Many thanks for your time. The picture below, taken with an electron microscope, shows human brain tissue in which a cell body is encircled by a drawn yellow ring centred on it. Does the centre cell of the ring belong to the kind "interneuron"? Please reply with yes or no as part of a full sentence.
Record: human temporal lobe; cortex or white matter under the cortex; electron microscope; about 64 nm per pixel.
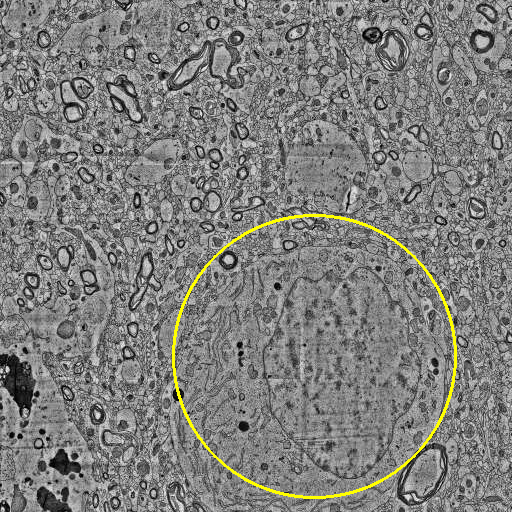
Yes, in the picture the cell at the ring's centre is of the kind you named.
